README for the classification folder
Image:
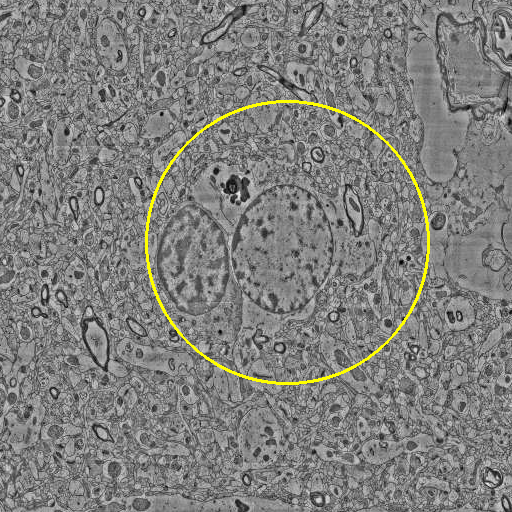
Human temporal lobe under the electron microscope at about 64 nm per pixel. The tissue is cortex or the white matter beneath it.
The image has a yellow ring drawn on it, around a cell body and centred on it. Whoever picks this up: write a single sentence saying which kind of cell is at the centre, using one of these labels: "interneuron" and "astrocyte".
This cell body is that of an astrocyte.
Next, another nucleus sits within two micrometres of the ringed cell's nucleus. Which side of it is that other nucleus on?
The other nucleus appears to the left of it.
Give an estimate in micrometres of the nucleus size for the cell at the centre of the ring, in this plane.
Approximately 8 micrometres long and 6 micrometres wide, in this plane.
